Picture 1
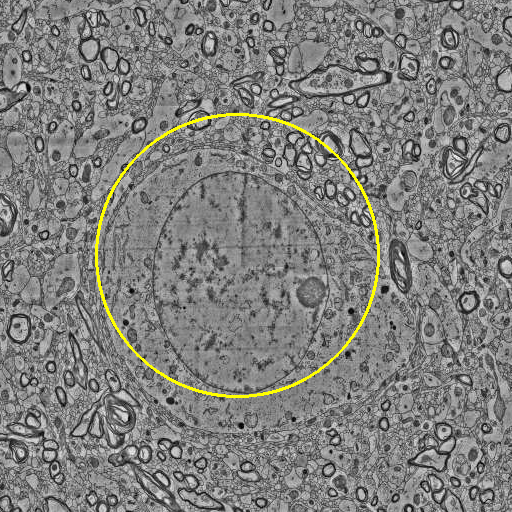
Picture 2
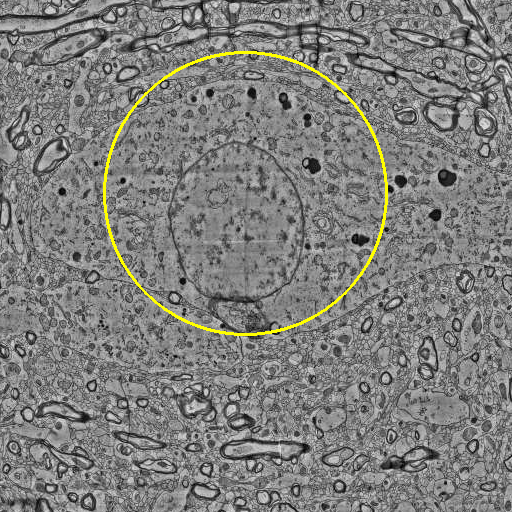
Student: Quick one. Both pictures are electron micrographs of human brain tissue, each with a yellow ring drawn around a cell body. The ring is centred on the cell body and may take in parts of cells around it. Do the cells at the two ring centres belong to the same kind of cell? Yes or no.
yes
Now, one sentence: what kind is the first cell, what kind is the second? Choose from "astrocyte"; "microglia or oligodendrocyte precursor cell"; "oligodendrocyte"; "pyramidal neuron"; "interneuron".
Each of the ringed cells, first and second, is a pyramidal neuron.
